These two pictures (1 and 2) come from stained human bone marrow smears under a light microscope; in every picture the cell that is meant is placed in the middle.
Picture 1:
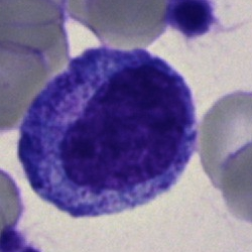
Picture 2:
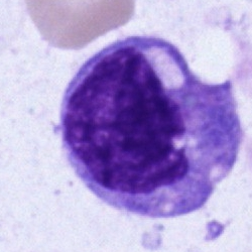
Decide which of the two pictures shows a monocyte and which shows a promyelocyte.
1: promyelocyte
2: monocyte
